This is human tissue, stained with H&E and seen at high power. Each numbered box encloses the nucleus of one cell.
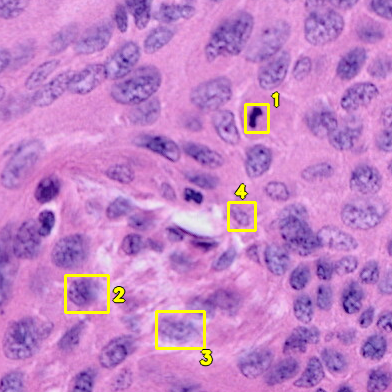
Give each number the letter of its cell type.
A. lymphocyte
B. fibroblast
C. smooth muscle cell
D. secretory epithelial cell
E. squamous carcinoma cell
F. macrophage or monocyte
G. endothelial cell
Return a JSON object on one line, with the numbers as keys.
{"1": "E", "2": "E", "3": "B", "4": "E"}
